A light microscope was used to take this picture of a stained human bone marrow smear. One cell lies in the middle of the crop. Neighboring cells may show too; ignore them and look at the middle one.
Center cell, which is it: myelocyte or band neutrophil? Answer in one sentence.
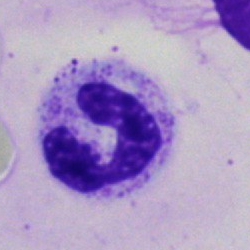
The cell sitting right in the middle is a band neutrophil.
